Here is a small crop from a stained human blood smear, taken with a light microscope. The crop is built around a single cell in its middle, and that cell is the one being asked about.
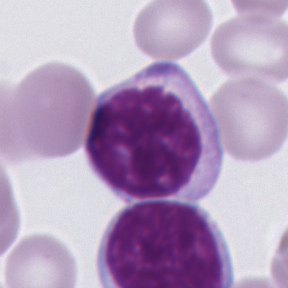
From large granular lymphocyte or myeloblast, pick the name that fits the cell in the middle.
large granular lymphocyte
